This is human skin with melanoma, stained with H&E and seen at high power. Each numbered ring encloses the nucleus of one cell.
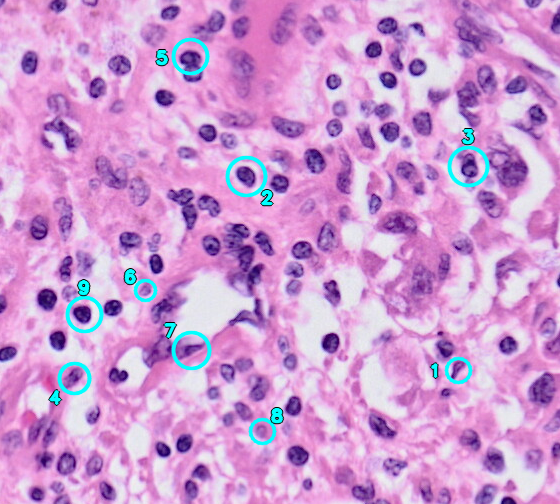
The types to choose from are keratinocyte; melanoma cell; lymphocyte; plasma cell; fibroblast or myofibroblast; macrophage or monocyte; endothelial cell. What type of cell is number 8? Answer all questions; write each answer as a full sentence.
The mark numbered 8 indicates the nucleus of a macrophage or monocyte.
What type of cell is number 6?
Among the marked nuclei, number 6 belongs to a macrophage or monocyte.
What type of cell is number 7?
Number 7 among the marked cells is an endothelial cell.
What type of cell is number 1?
The cell given label 1 is a fibroblast or myofibroblast.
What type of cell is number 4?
The cell numbered 4 represents a macrophage or monocyte.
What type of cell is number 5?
The cell numbered 5 has been identified as a lymphocyte.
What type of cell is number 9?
The cell carrying label 9 is identified as a lymphocyte.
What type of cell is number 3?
That cell with number 3 is a lymphocyte.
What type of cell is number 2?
The one numbered 2 among the marked cells is a lymphocyte.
